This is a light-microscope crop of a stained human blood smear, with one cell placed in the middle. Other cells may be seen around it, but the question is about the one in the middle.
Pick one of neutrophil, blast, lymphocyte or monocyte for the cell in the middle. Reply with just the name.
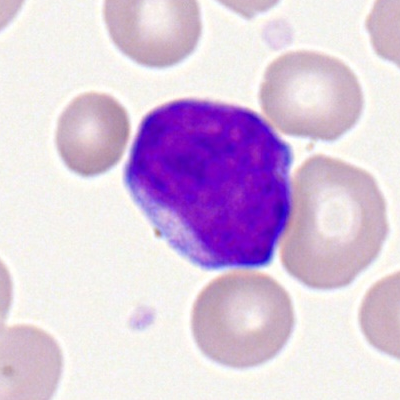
blast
